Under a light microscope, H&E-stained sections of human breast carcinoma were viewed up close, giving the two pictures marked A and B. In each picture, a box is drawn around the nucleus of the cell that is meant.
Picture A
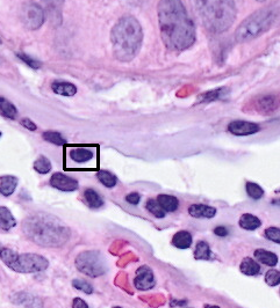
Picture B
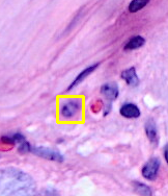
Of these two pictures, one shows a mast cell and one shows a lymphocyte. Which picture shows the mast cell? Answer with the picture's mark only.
B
